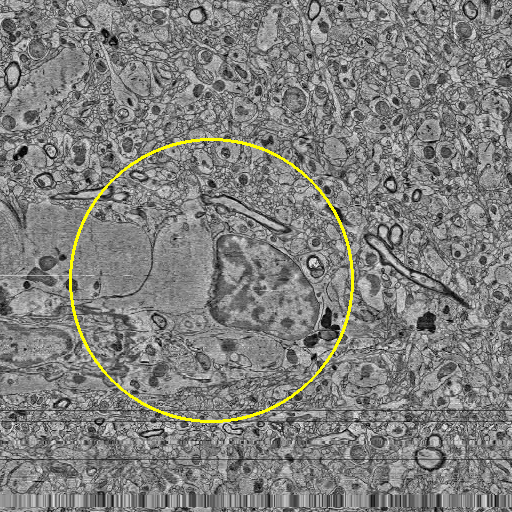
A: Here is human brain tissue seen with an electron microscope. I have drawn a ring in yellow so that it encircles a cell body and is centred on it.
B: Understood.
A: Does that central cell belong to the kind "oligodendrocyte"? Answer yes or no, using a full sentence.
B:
No, the central cell inside your yellow ring belongs to another kind.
